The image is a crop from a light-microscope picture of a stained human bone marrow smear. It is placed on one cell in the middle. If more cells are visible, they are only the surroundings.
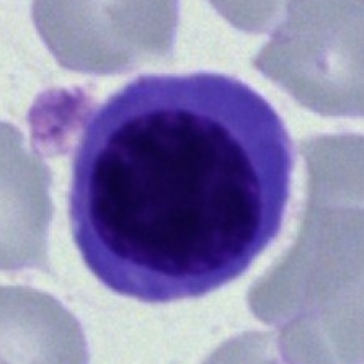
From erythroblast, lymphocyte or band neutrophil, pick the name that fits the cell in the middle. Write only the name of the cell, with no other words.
erythroblast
